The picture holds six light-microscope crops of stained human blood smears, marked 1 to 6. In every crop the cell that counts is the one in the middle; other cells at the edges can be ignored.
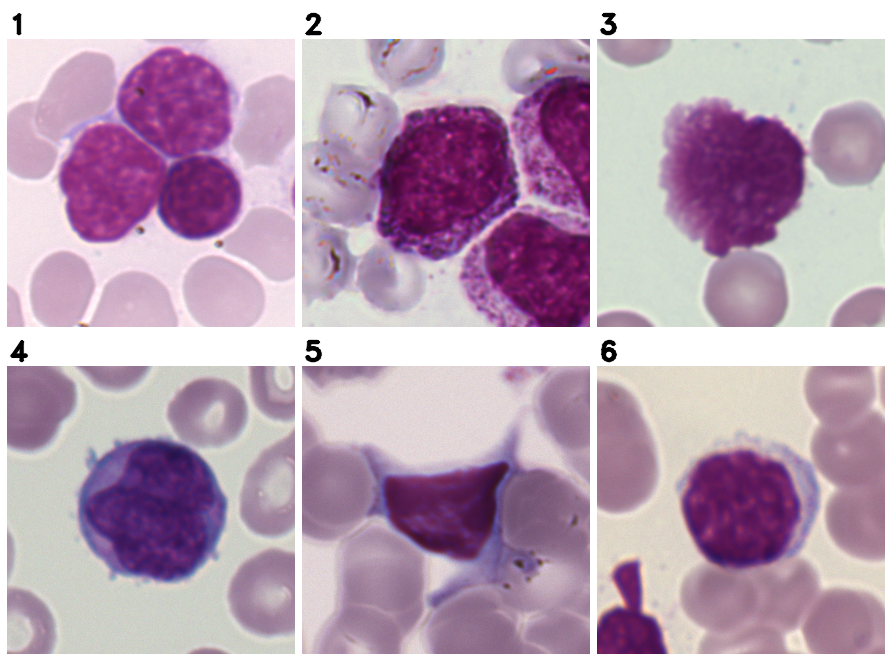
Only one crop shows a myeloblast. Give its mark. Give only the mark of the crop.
1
